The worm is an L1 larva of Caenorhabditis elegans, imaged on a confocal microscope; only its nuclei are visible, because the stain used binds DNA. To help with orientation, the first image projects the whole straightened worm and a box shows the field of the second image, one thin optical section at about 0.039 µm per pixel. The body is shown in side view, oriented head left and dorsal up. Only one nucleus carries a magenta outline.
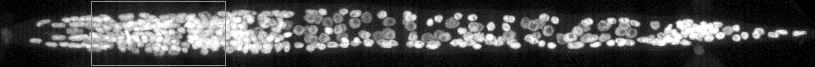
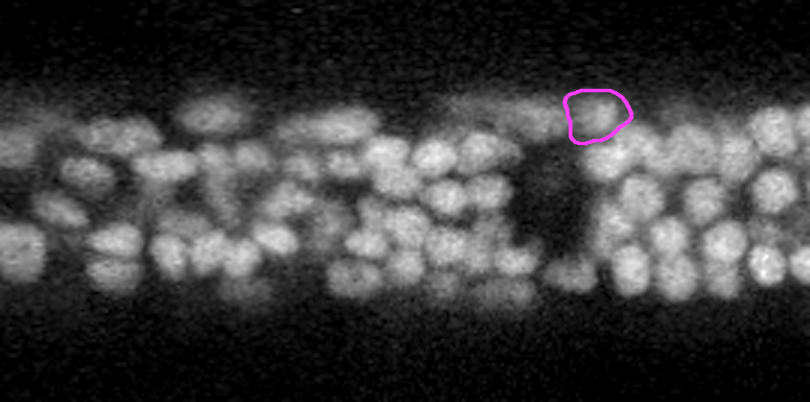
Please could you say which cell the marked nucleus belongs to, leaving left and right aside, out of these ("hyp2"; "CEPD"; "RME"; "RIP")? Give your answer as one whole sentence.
The nucleus is from CEPD, a neuron.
